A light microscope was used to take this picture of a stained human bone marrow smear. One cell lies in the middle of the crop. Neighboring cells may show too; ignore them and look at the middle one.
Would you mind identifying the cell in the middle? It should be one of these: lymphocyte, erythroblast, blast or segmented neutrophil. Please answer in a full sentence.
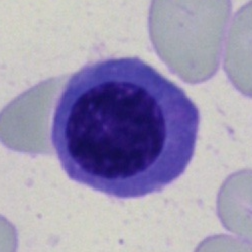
The centrally positioned cell in the crop represents an erythroblast.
